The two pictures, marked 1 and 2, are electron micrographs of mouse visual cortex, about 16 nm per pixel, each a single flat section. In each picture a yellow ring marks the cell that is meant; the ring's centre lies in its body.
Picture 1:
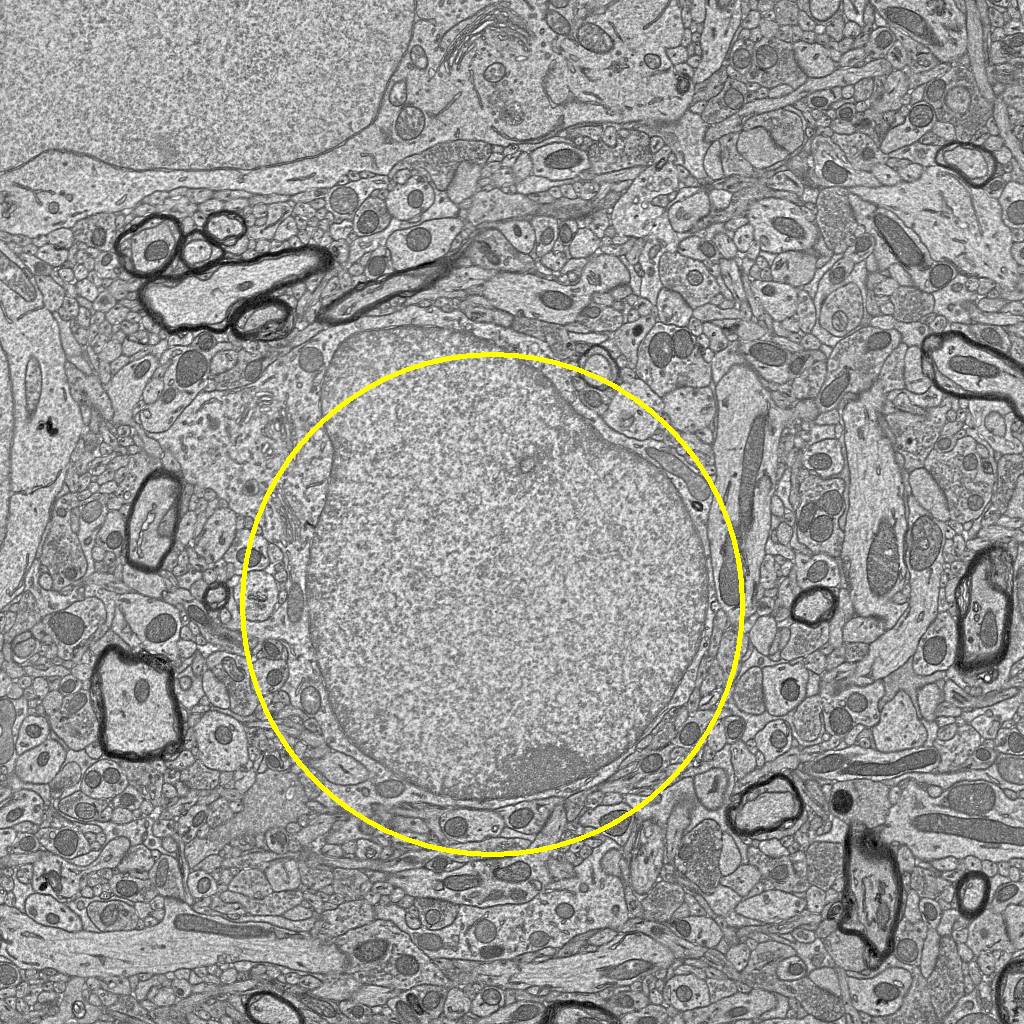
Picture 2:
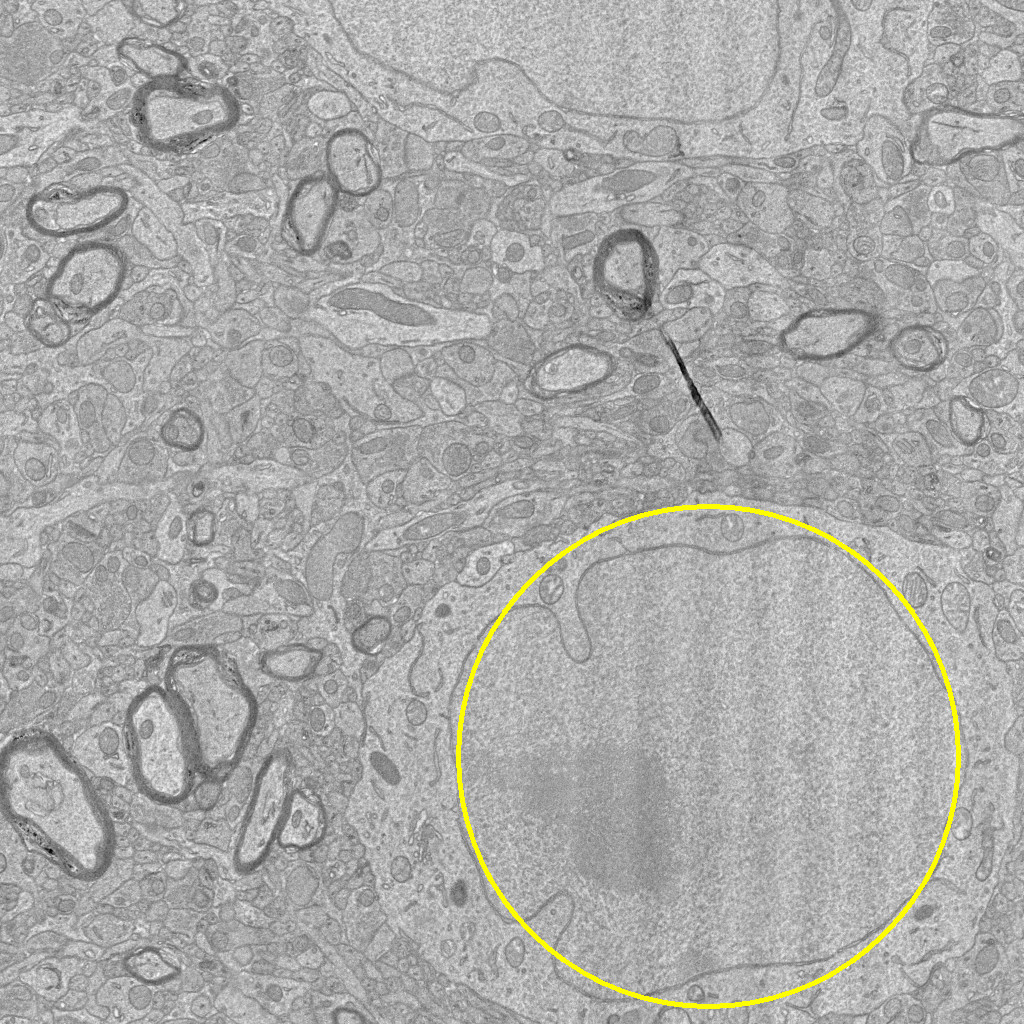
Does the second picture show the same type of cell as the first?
No; the cell in picture 1 is an astrocyte, while the one in picture 2 is an excitatory neuron.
